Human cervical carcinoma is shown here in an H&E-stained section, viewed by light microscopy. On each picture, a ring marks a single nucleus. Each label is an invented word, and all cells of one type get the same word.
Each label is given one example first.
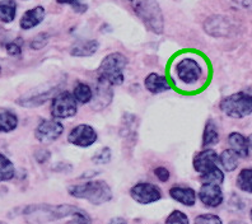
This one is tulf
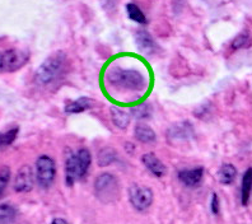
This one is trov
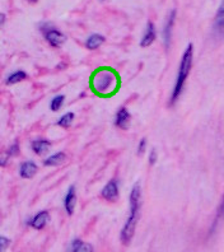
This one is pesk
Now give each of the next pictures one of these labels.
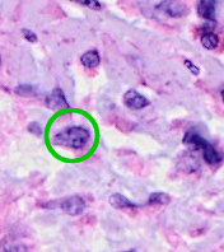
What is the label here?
trov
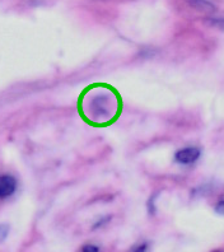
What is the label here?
trov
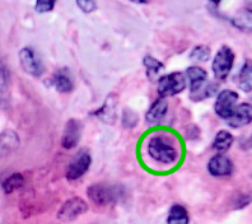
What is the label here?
tulf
